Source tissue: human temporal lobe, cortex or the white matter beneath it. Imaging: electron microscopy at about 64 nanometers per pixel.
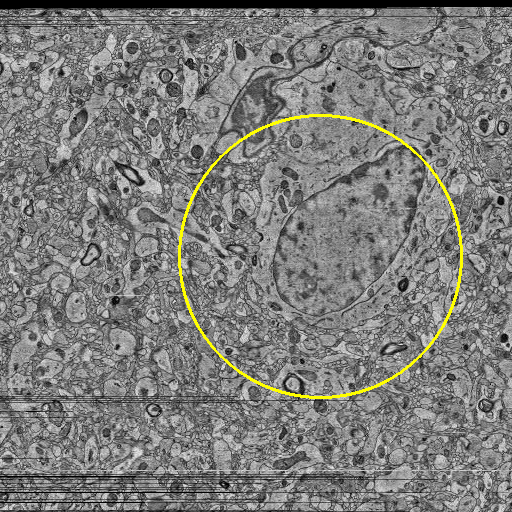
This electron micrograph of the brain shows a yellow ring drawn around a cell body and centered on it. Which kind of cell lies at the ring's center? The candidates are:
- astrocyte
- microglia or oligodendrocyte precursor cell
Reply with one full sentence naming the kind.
The cell lying at the ring's center in this micrograph is a microglial cell or oligodendrocyte precursor cell.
